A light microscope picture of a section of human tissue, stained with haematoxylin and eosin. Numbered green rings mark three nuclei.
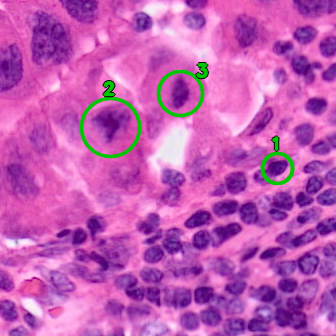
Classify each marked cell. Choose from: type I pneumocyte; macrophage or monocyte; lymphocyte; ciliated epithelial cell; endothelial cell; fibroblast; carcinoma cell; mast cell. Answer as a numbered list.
1. lymphocyte
2. carcinoma cell
3. carcinoma cell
